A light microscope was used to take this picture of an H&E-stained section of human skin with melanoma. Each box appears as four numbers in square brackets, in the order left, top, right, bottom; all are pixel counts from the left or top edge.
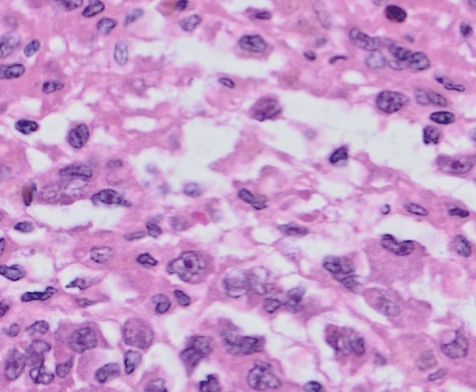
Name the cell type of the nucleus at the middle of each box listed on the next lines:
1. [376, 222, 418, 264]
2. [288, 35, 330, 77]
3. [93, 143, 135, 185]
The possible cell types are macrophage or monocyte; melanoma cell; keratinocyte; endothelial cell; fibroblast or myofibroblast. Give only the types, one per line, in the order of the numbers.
melanoma cell
macrophage or monocyte
macrophage or monocyte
